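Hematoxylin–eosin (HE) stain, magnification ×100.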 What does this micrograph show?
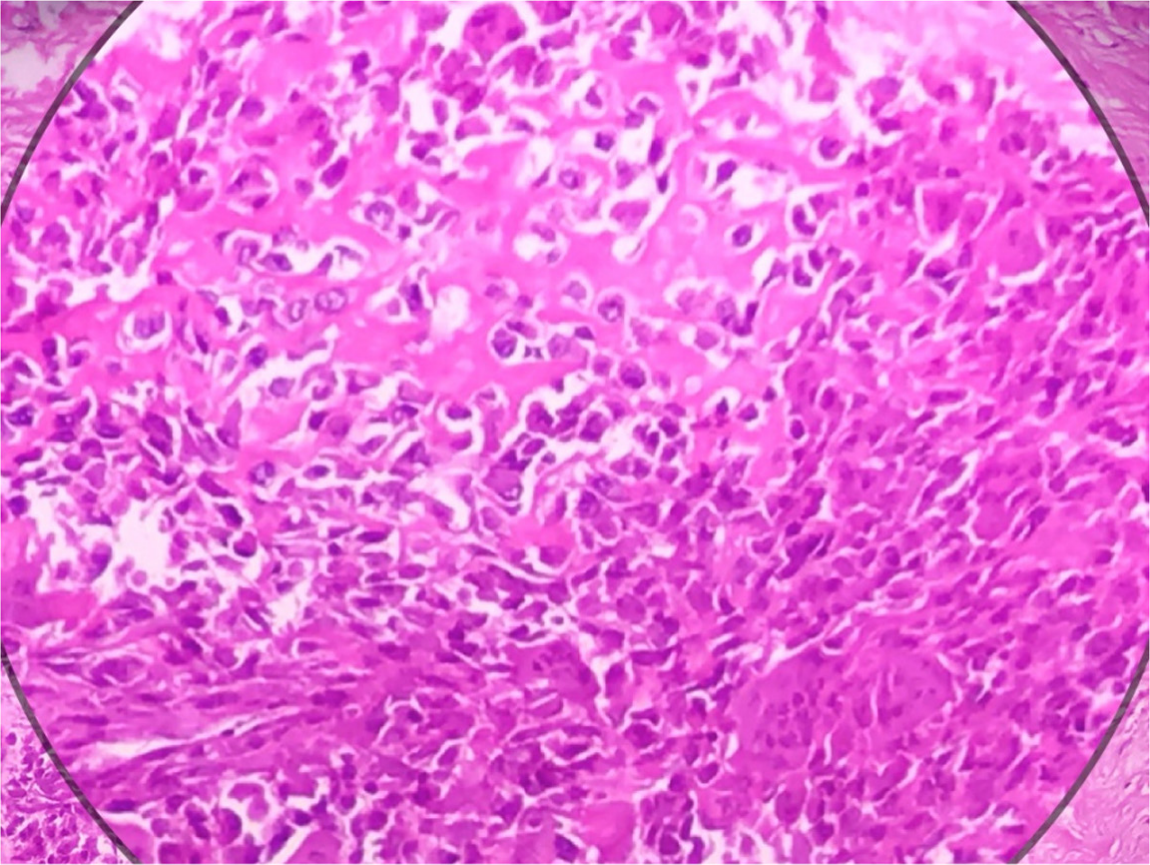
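This is a densely cellular tumour made up of proliferating spindle cells lying within and beside pink, unmineralized neoplastic osteoid. In the upper half of the field, homogeneous pink osteoid forms a lace-like network, and tumour cells are trapped in small spaces within it. Toward the lower left, the cells become more elongated and stream in fascicles, and there is little intervening matrix.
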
